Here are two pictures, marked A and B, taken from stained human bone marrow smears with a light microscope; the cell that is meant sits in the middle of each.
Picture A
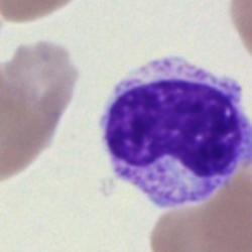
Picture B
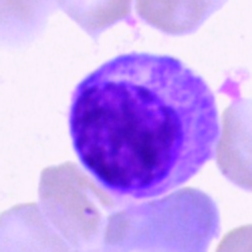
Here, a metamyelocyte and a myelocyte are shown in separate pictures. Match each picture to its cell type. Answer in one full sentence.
It is picture A that shows a metamyelocyte, and picture B that shows a myelocyte.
